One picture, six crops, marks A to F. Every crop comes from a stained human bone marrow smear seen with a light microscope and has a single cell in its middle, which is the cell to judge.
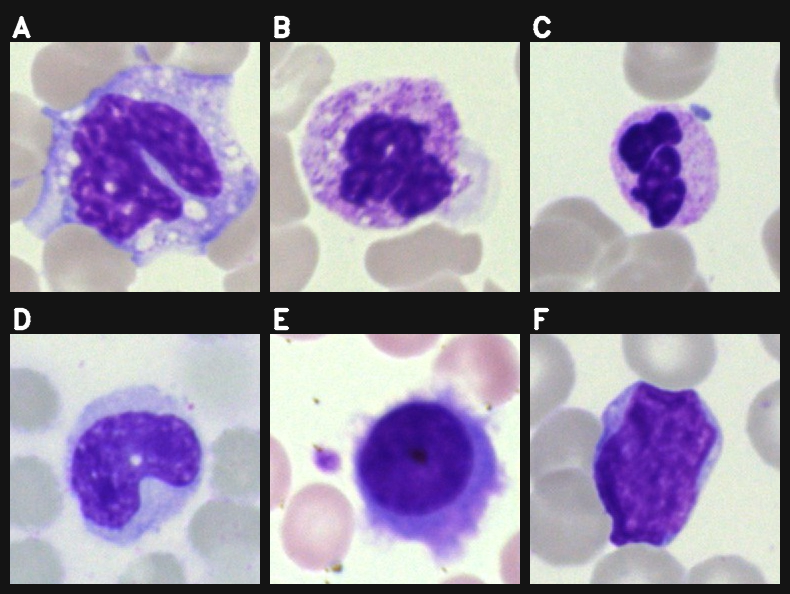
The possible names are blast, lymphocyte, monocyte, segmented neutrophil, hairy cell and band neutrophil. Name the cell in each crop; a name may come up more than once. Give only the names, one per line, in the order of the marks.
monocyte
segmented neutrophil
segmented neutrophil
band neutrophil
hairy cell
blast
